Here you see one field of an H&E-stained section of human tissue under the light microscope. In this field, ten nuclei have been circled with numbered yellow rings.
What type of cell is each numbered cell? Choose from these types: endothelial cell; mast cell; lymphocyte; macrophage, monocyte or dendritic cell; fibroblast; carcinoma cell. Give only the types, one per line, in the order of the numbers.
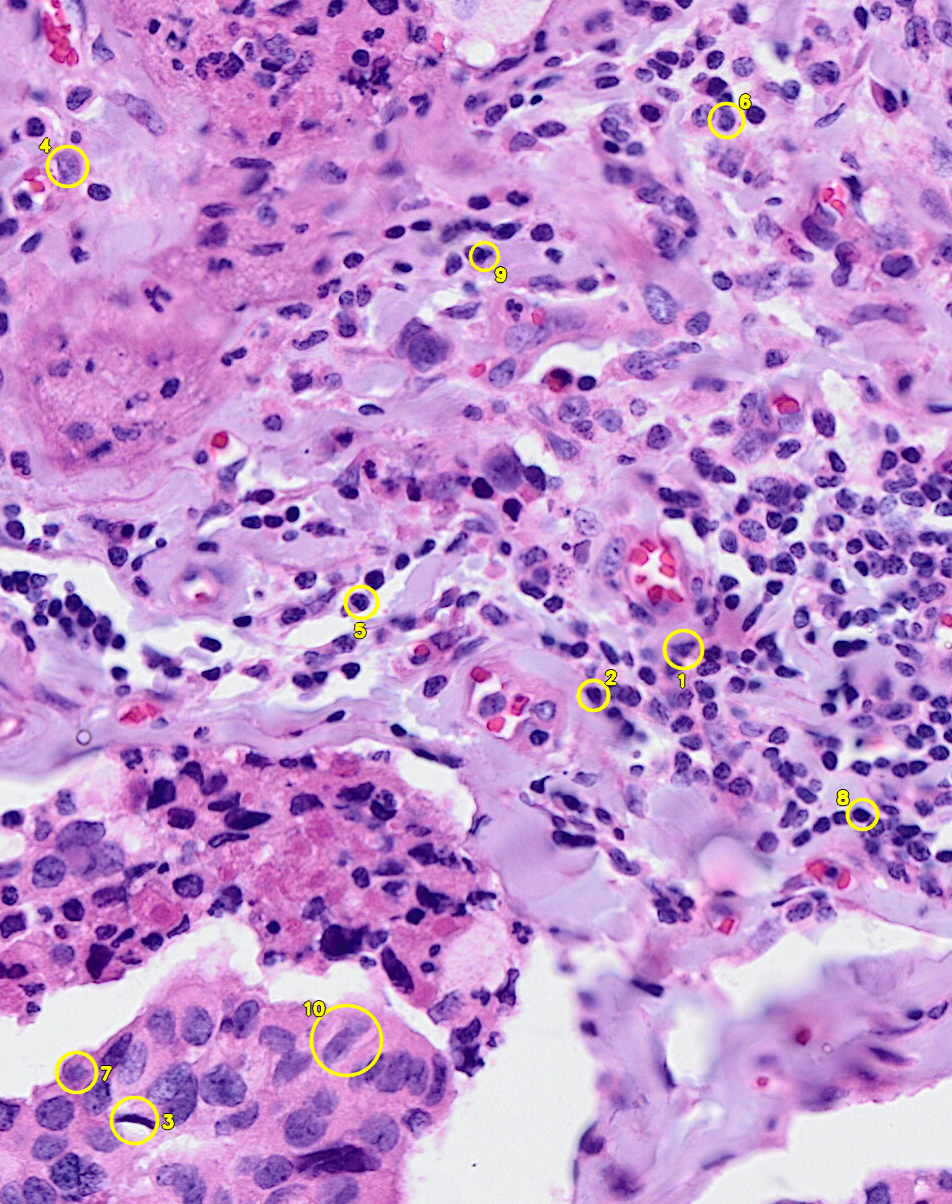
lymphocyte
lymphocyte
carcinoma cell
endothelial cell
lymphocyte
lymphocyte
carcinoma cell
lymphocyte
lymphocyte
carcinoma cell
